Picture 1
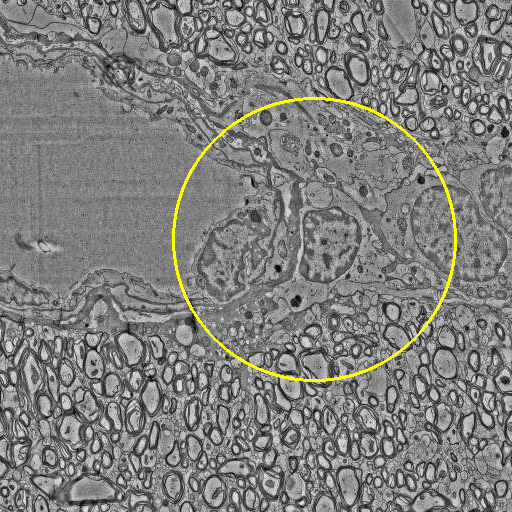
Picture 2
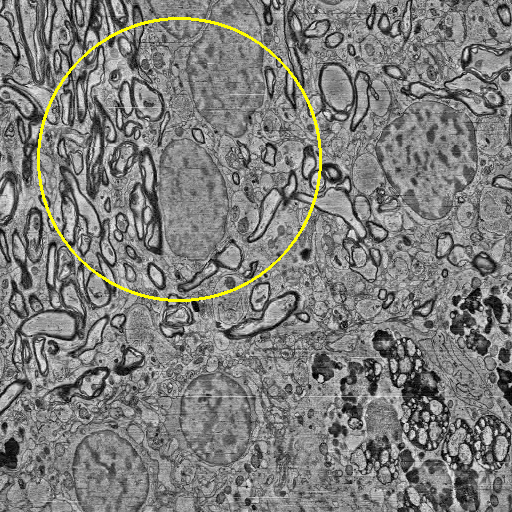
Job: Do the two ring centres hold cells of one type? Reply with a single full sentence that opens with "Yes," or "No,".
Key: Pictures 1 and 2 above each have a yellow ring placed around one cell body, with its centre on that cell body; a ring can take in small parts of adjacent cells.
No, the cells at the two ring centres are of two separate types.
